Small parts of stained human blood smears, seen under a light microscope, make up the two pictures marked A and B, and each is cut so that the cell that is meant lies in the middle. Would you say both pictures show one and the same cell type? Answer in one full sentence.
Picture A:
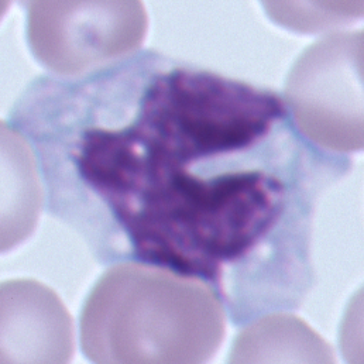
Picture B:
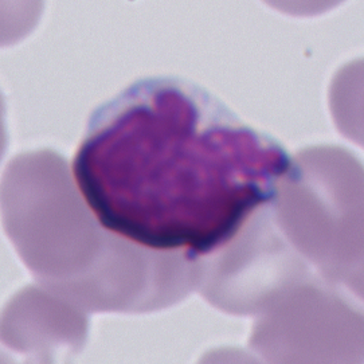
No. Picture A shows a monocyte, but picture B shows a large granular lymphocyte.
